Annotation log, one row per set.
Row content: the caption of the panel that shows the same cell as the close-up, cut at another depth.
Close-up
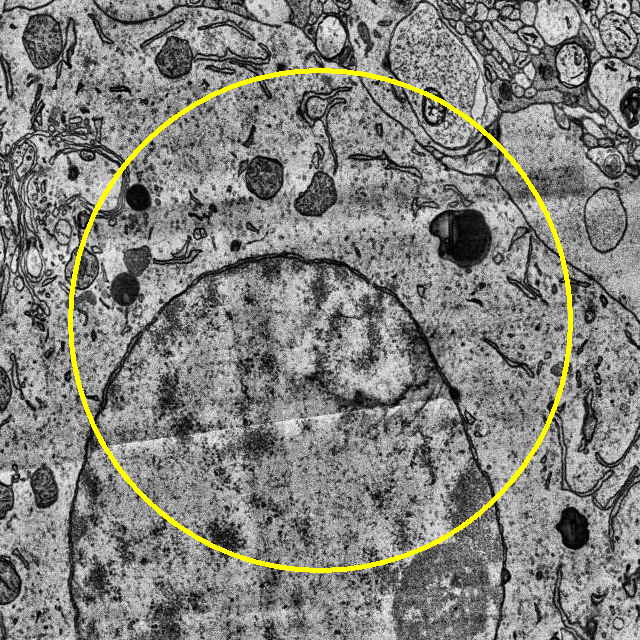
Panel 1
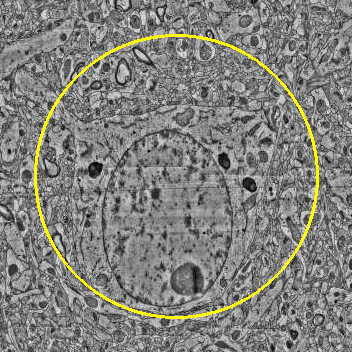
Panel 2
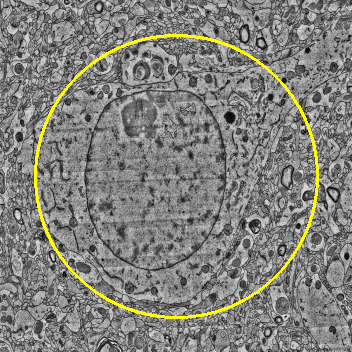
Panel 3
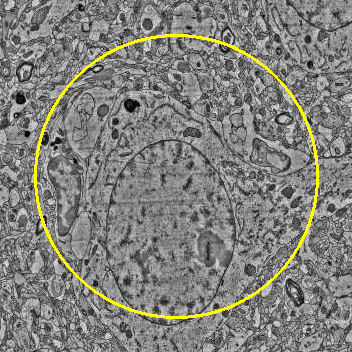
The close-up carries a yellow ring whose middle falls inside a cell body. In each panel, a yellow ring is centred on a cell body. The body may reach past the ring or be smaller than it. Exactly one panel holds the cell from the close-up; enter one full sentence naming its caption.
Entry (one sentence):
It is the cell in Panel 3 that appears in the close-up.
